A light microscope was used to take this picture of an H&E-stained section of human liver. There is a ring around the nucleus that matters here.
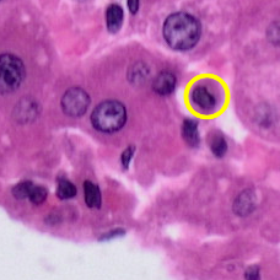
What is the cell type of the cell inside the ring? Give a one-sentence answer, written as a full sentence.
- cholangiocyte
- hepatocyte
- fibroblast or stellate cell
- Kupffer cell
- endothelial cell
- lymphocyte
What the cell inside the ring represents is a Kupffer cell.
